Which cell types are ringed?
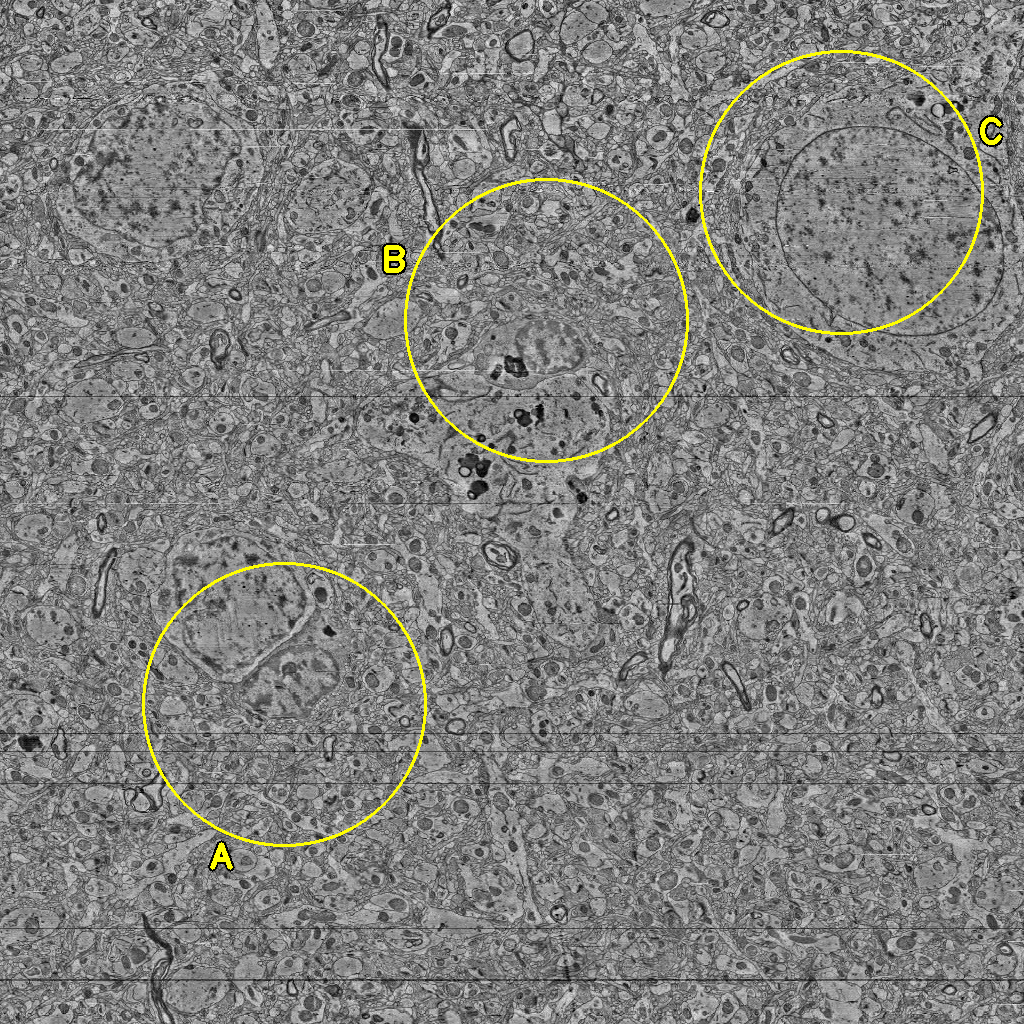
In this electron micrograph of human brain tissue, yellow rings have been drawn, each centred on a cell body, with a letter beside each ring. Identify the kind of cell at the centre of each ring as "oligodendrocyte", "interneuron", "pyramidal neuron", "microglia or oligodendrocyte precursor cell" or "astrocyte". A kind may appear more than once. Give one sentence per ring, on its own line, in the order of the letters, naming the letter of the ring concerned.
Ring A is drawn on an oligodendrocyte.
Ring B is drawn on an oligodendrocyte.
Ring C is drawn on a pyramidal neuron.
